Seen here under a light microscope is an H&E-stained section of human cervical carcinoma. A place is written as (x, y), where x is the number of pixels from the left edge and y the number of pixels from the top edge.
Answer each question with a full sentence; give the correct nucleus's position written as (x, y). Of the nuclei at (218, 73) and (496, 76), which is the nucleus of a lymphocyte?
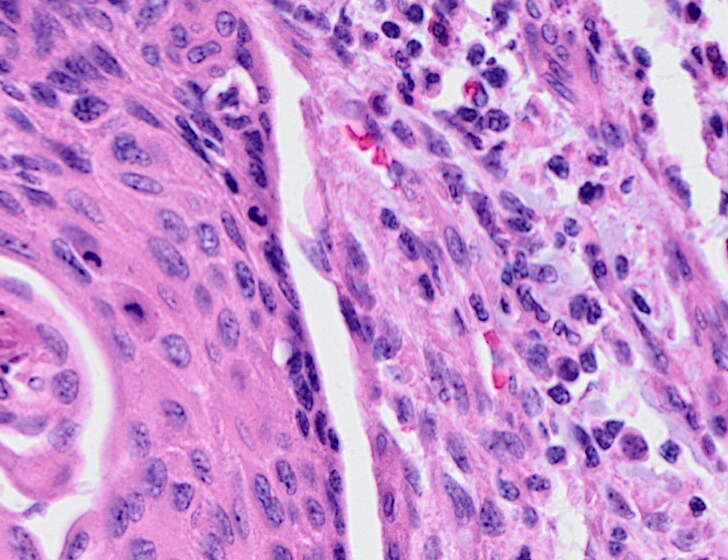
The one belonging to a lymphocyte is the nucleus at (496, 76), not the other.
